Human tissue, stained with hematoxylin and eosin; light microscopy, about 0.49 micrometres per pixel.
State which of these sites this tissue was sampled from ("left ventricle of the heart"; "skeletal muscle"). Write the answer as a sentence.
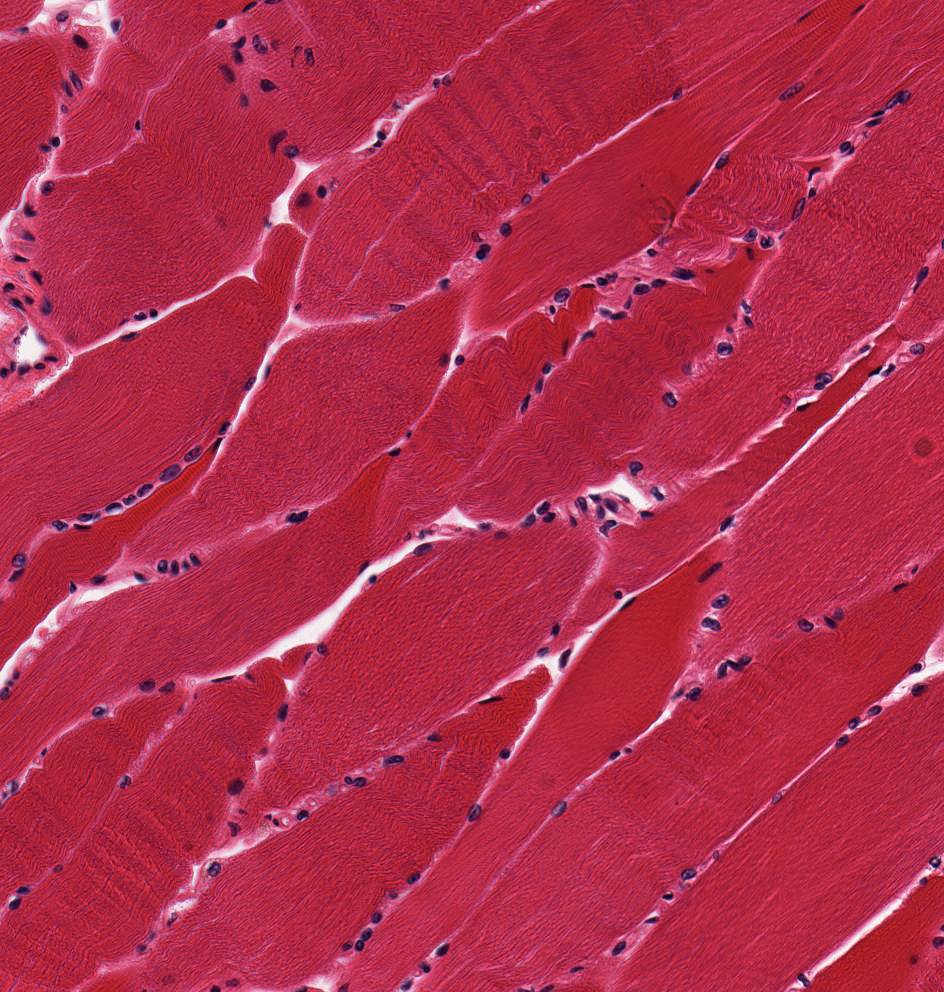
The site this tissue was sampled from is the skeletal muscle.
